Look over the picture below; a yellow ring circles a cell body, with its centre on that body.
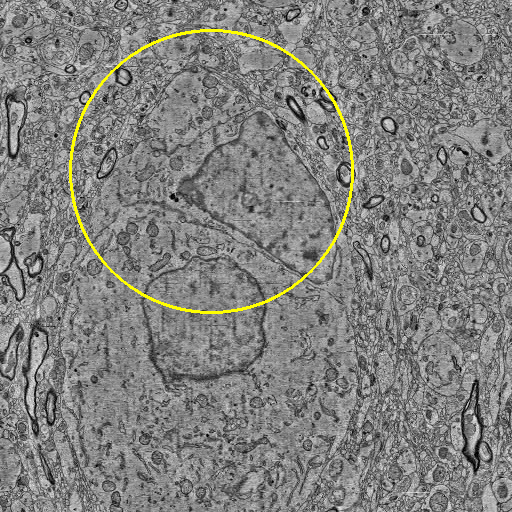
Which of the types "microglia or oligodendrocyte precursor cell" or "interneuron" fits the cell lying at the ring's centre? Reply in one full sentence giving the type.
The picture shows a microglial cell or oligodendrocyte precursor cell at the centre of the yellow ring.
